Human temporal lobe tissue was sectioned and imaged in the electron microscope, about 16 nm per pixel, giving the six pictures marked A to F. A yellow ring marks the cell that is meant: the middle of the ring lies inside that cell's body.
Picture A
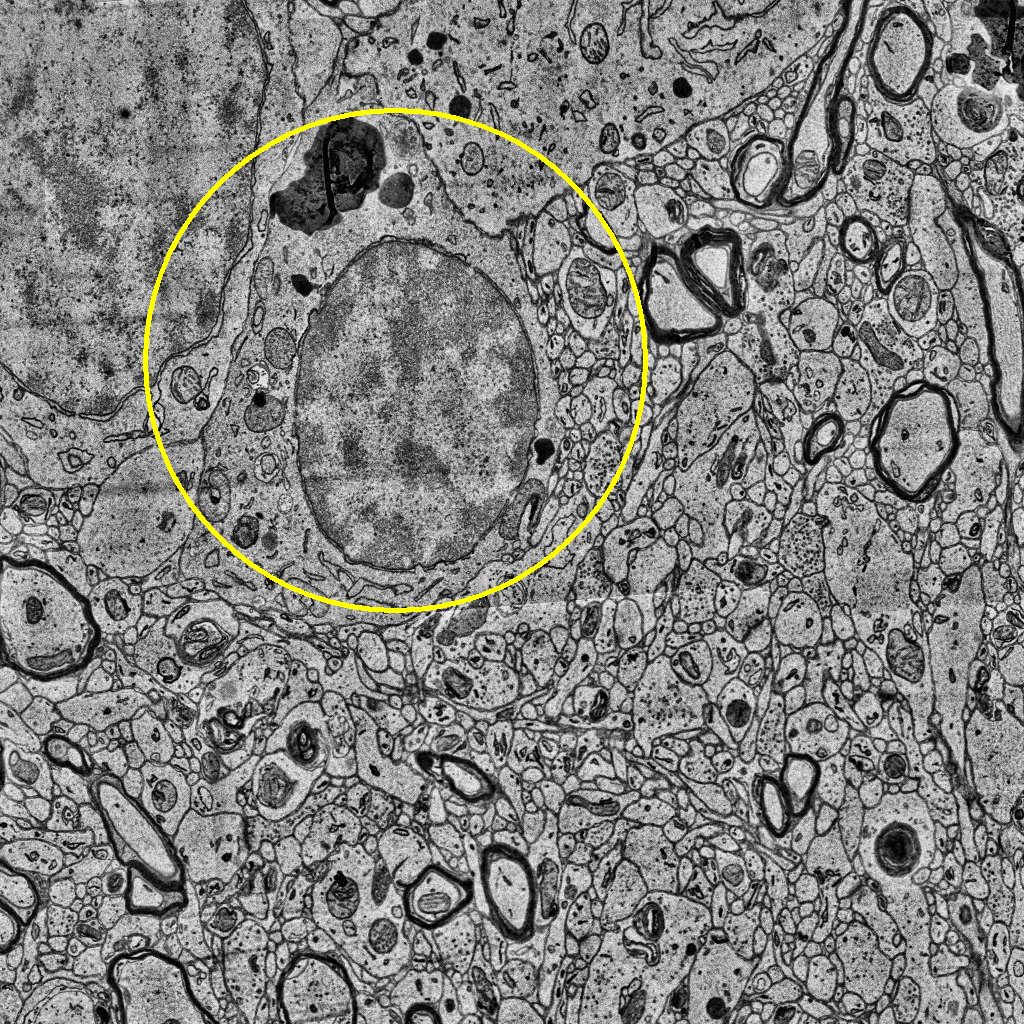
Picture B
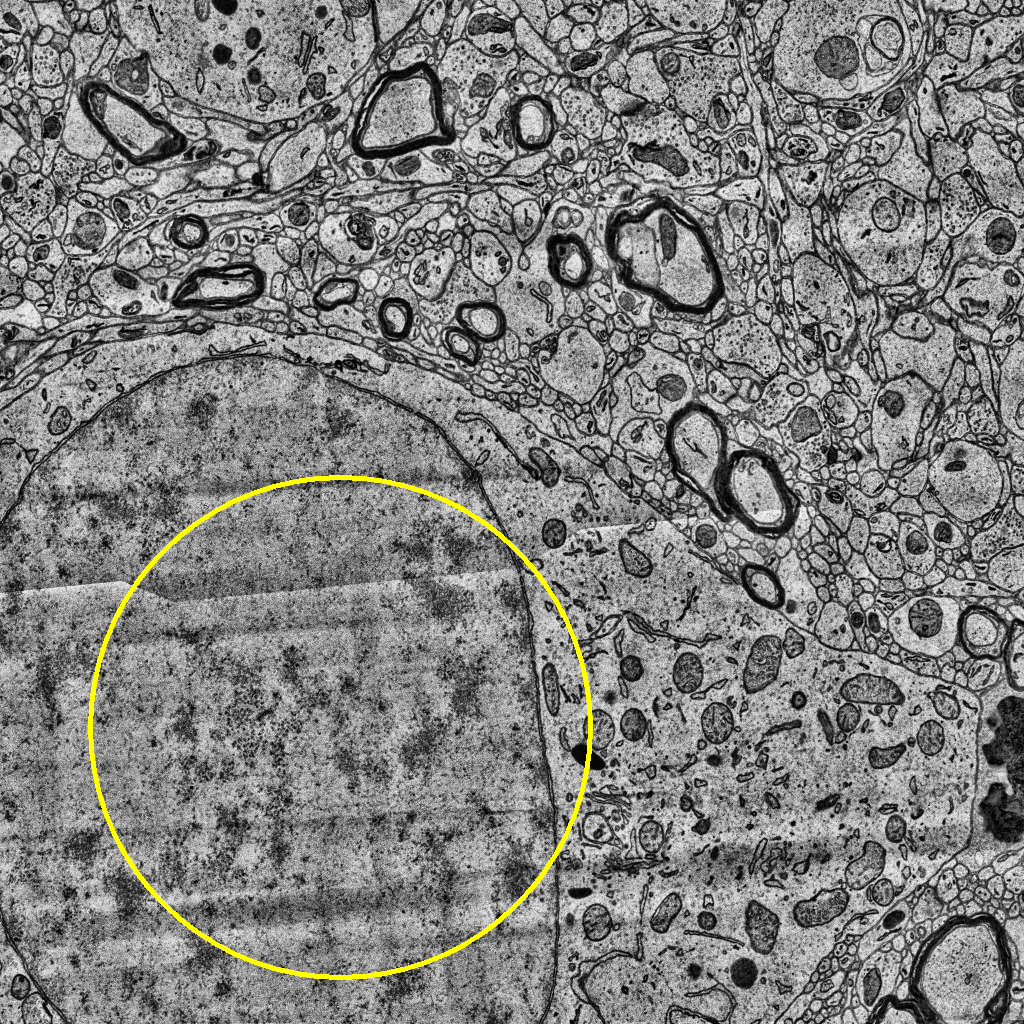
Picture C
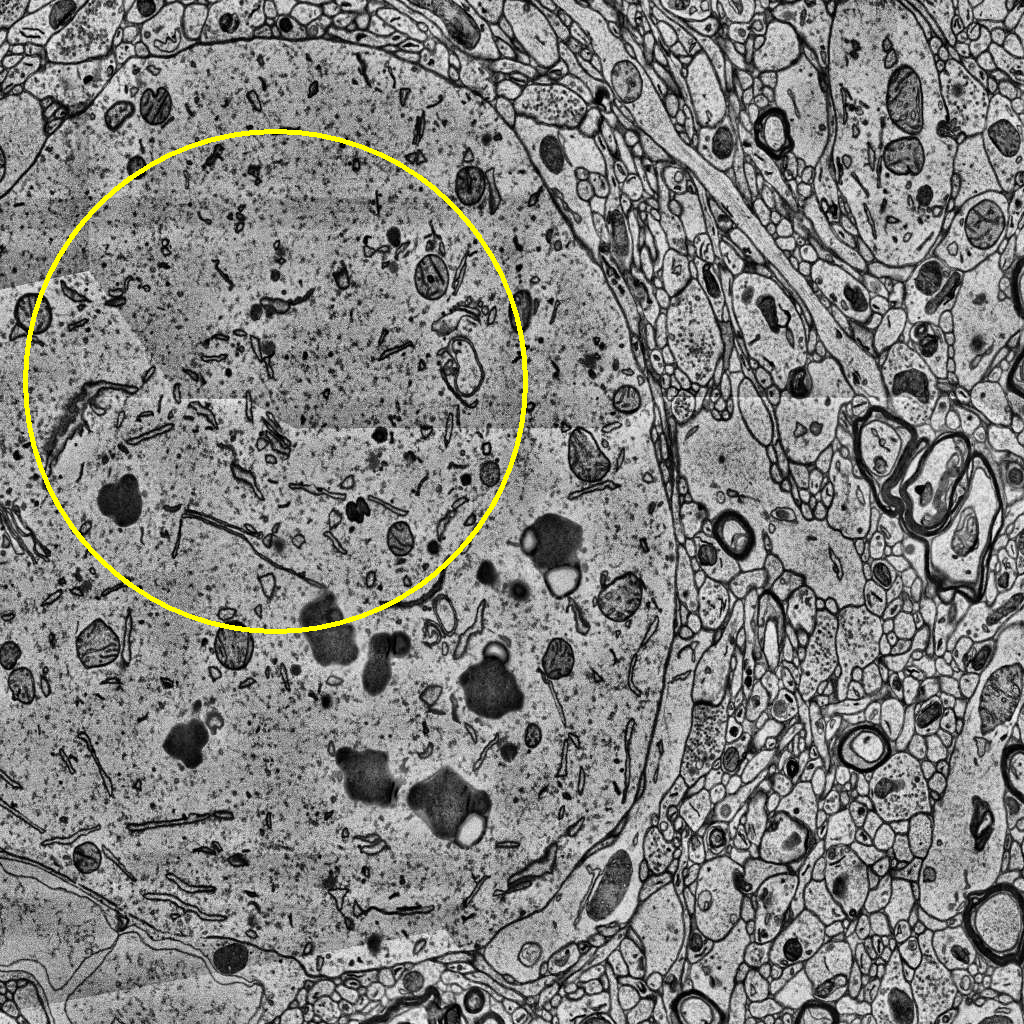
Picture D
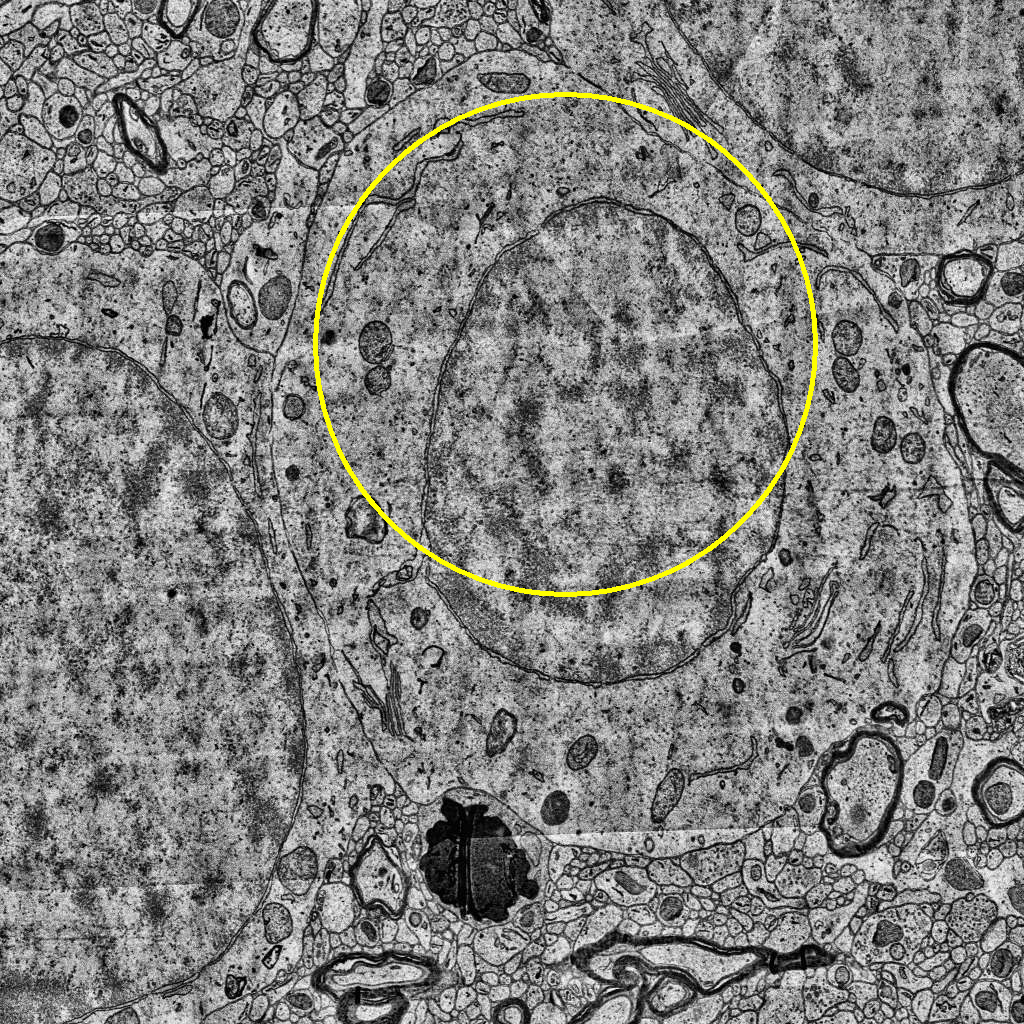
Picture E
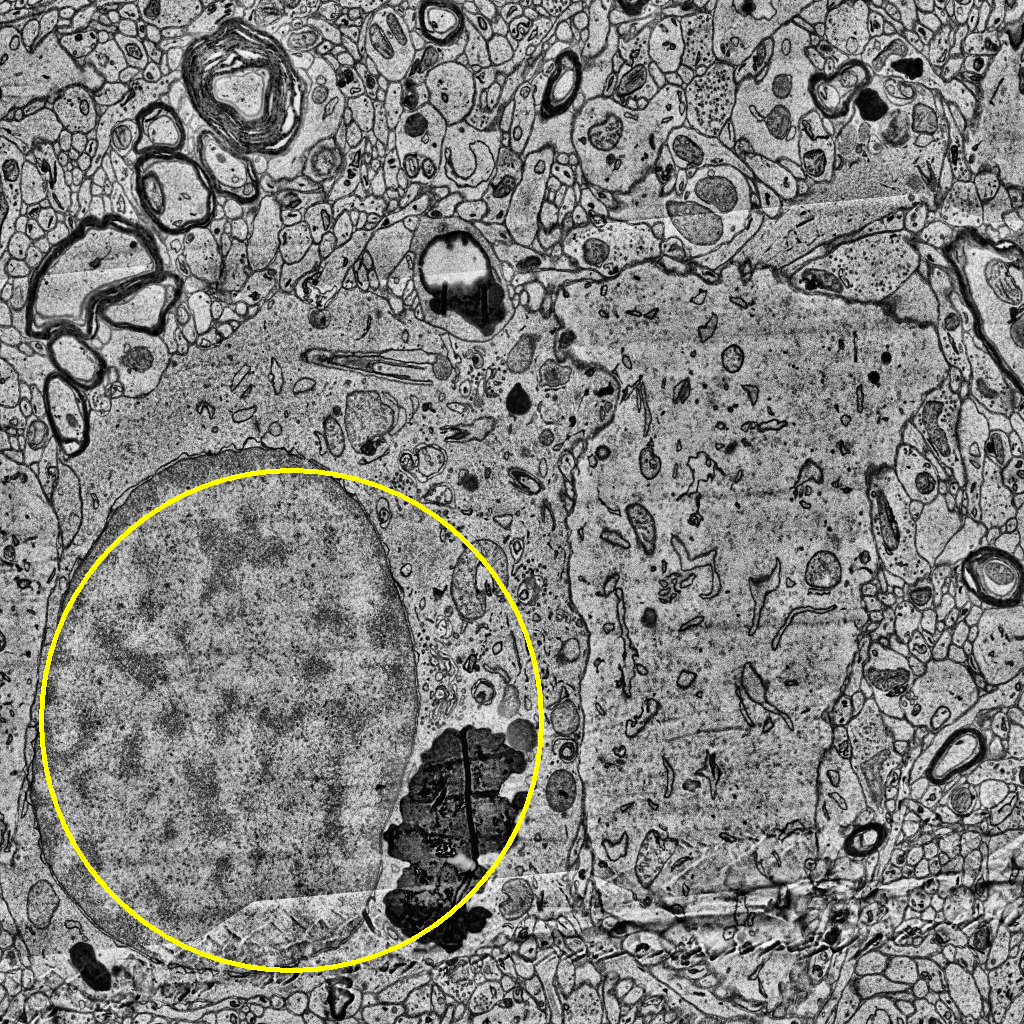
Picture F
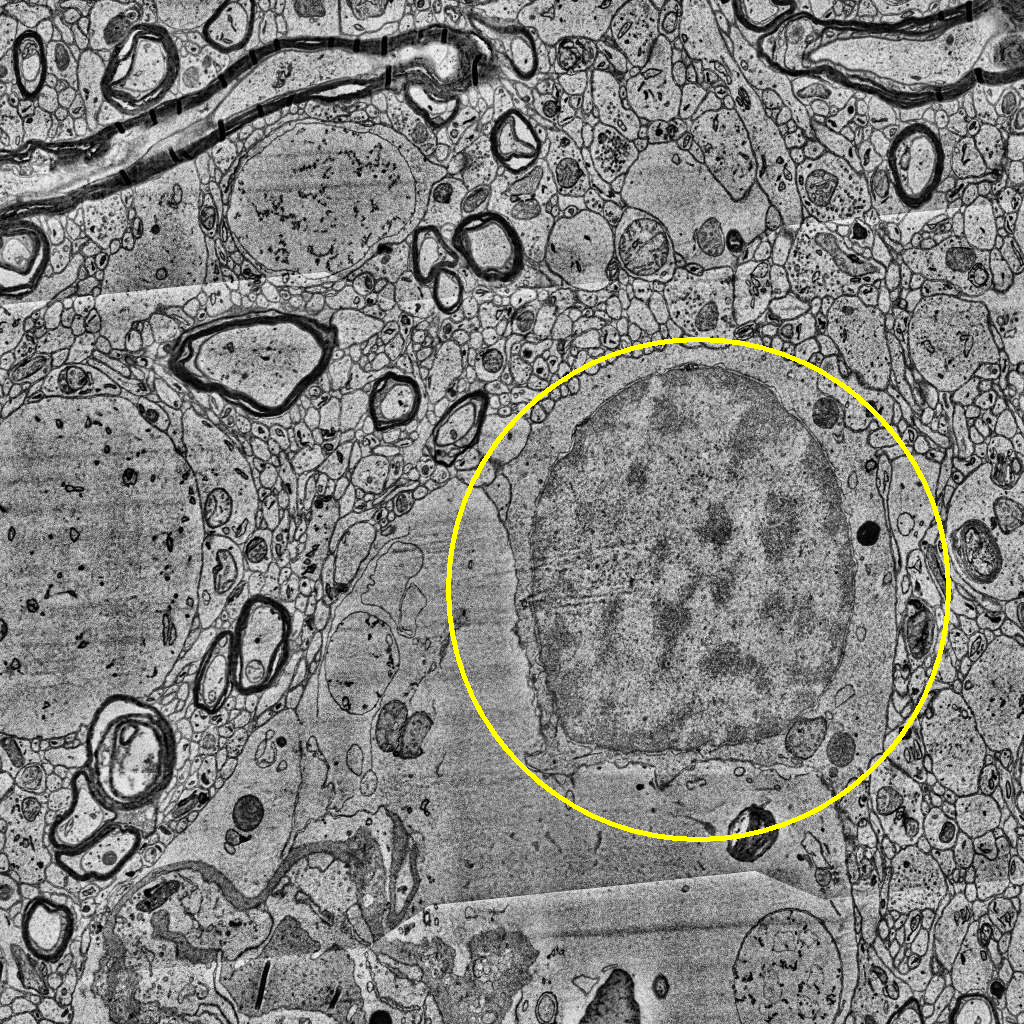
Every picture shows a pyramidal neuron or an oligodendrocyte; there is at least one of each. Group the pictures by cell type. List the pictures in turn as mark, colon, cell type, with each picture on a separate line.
A: oligodendrocyte
B: pyramidal neuron
C: pyramidal neuron
D: pyramidal neuron
E: oligodendrocyte
F: oligodendrocyte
